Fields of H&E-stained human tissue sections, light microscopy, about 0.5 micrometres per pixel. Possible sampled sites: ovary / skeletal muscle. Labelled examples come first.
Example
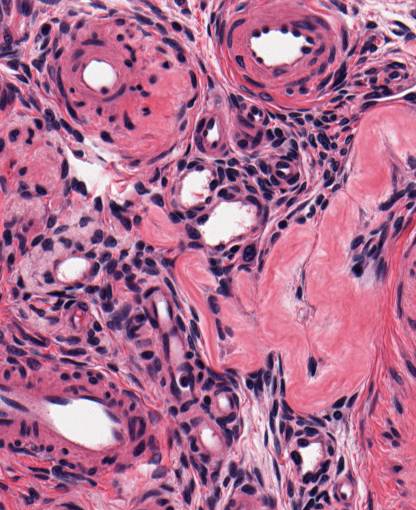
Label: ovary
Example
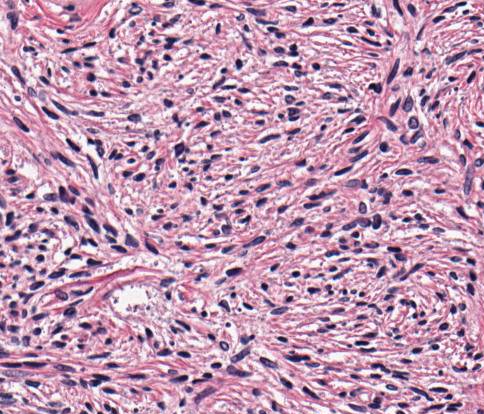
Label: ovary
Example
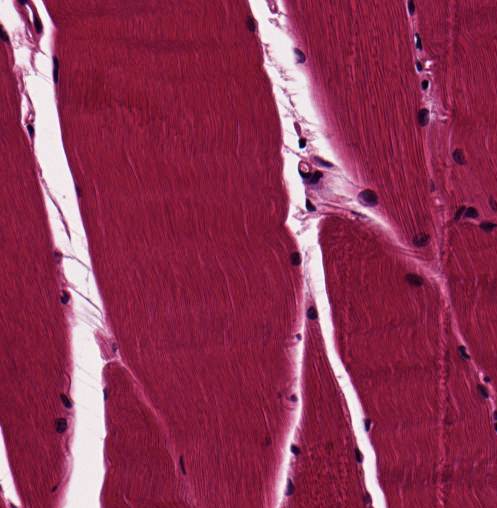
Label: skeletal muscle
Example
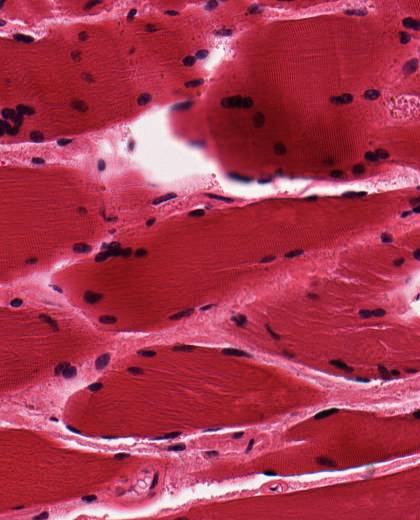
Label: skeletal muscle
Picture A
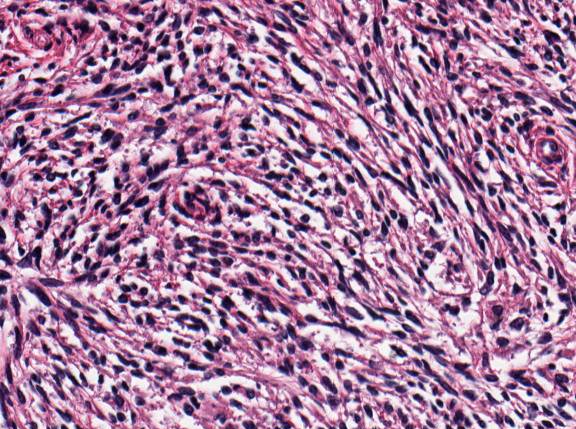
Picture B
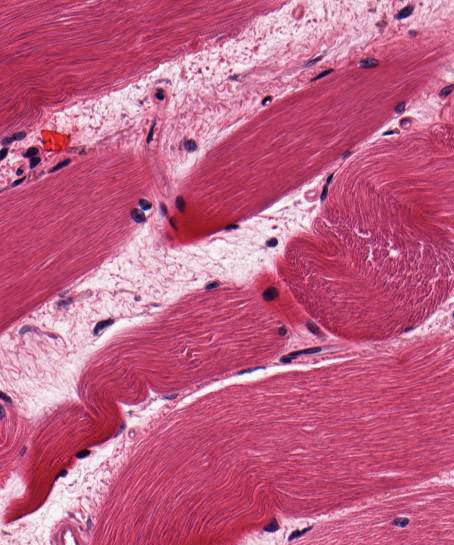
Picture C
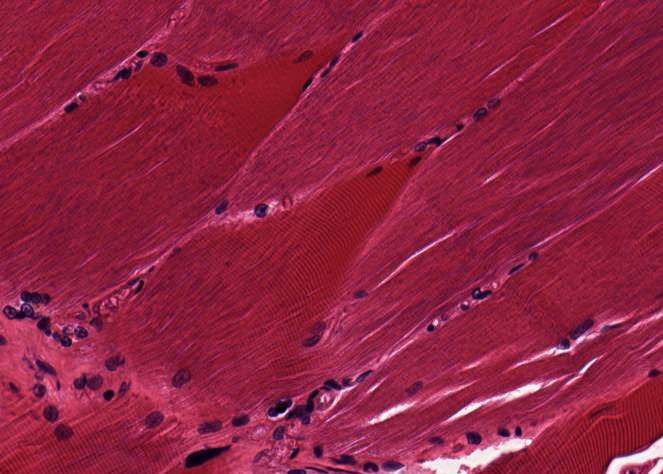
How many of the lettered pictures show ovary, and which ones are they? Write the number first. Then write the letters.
Count: 1 (A)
